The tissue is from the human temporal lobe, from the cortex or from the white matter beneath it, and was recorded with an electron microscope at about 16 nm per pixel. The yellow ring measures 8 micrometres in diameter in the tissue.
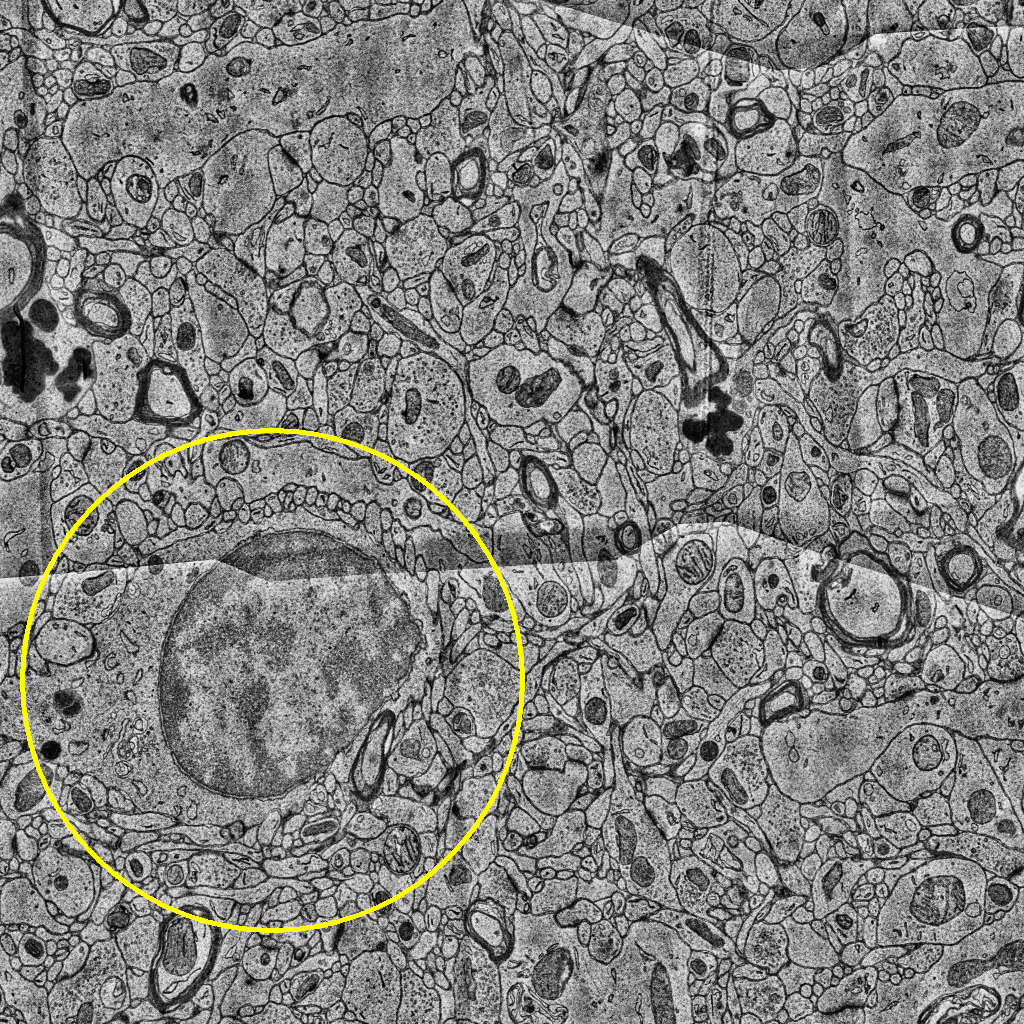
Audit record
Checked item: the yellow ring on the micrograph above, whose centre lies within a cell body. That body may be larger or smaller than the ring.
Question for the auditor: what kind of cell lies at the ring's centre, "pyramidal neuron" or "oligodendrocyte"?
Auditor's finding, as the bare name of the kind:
oligodendrocyte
